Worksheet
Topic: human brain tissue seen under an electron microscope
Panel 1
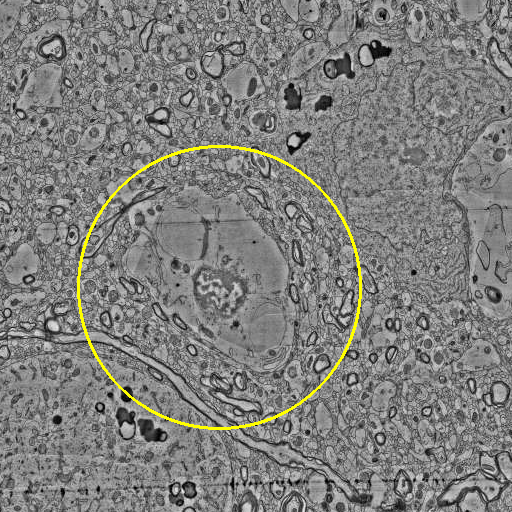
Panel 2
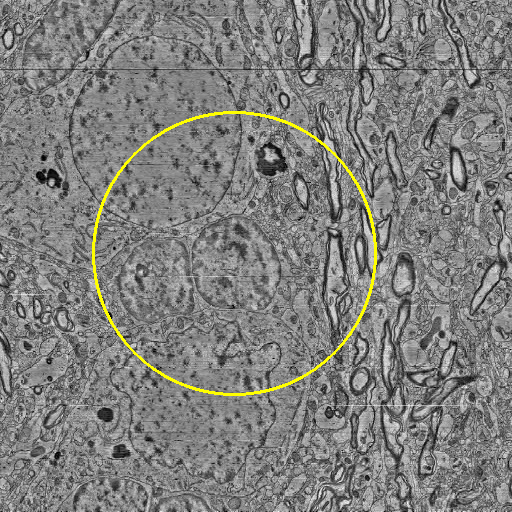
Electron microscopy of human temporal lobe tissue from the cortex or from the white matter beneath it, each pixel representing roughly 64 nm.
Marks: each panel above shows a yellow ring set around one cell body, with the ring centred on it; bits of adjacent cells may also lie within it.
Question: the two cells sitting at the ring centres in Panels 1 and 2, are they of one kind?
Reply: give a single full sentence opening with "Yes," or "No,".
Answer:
No, the two ring-centre cells in Panel 1 and Panel 2 are of two kinds.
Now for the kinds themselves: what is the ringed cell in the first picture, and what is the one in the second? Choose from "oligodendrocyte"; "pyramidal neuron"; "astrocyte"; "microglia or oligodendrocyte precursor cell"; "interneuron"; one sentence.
Here the first cell is an astrocyte and the second cell is an oligodendrocyte.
